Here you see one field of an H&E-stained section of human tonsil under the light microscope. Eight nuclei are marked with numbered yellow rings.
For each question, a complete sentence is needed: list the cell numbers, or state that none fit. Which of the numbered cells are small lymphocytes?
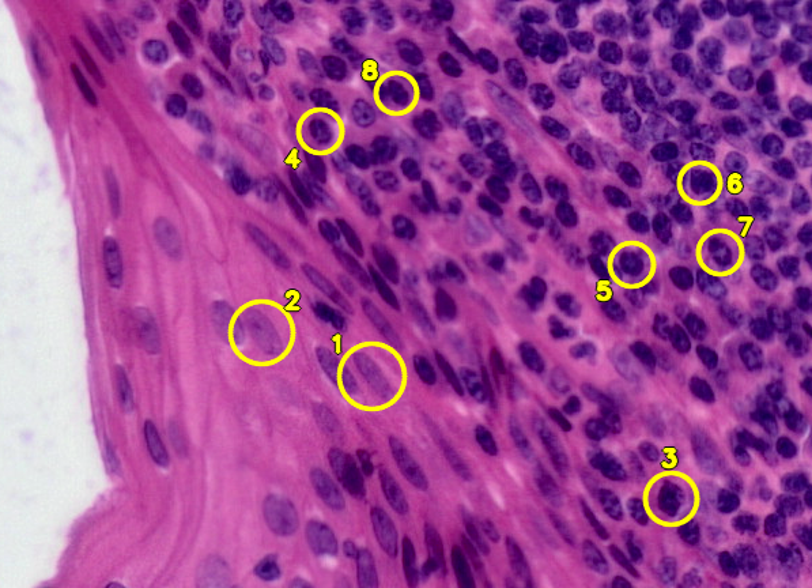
Cell 6 is a small lymphocyte, and it is the only one.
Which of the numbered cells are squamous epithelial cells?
The cells carrying labels 1 and 2 are squamous epithelial cells.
